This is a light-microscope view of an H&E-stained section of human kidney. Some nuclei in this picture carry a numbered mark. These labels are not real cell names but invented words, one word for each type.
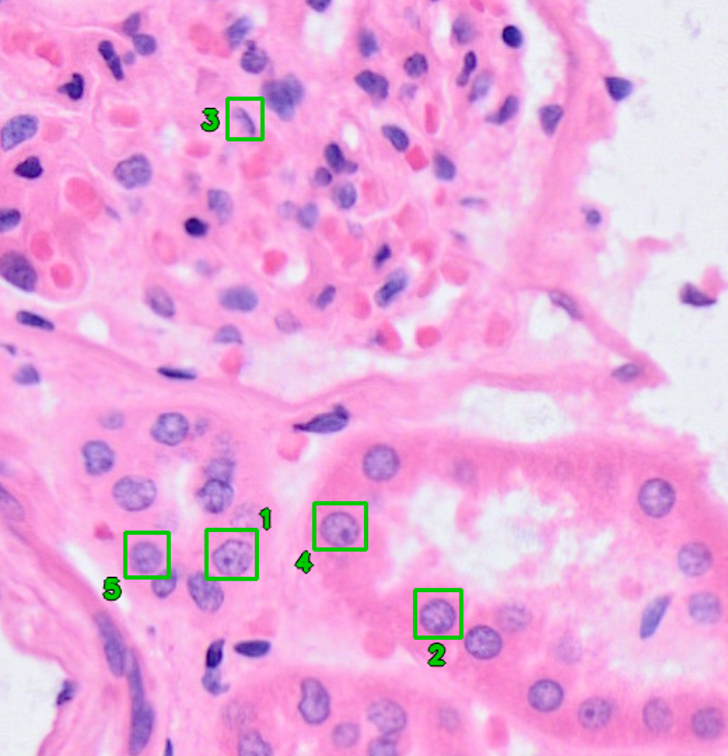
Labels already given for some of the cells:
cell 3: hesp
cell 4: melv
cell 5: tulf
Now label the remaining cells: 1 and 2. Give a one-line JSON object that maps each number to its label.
{"1": "tulf", "2": "melv"}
